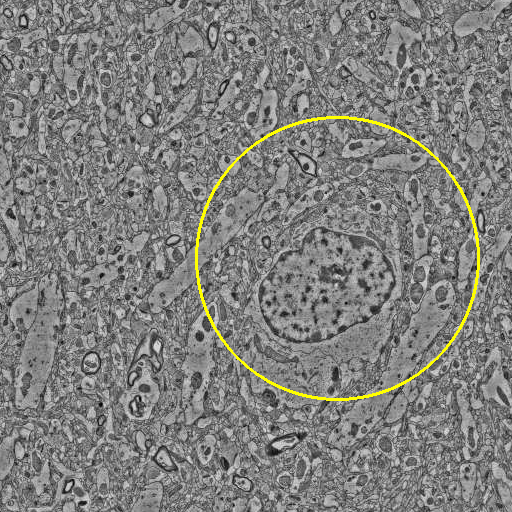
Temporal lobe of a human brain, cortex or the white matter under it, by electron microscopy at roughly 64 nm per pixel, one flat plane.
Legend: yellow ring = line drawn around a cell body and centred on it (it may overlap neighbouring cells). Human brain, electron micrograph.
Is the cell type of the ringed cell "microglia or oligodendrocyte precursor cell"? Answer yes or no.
yes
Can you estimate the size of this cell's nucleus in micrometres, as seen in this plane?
Roughly 9 by 7 micrometres in this plane, for the nucleus of the ringed cell.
